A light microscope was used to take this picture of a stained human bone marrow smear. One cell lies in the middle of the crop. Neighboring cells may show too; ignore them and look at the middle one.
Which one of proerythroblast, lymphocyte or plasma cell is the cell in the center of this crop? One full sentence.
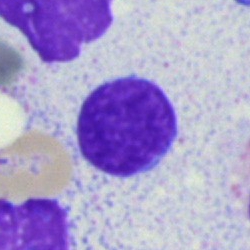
What the crop centres on is a lymphocyte.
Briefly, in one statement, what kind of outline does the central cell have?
Around its whole circumference the outline stays smooth, free of projections.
